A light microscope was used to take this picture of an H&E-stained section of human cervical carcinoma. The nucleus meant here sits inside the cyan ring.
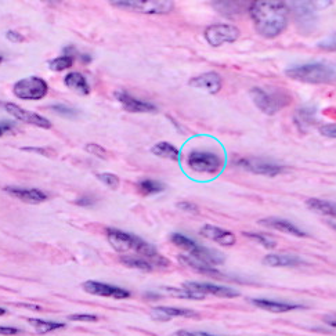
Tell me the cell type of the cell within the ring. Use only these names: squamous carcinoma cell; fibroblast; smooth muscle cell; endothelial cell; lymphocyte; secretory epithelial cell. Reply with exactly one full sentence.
In this preparation, the cell within the ring is a lymphocyte.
